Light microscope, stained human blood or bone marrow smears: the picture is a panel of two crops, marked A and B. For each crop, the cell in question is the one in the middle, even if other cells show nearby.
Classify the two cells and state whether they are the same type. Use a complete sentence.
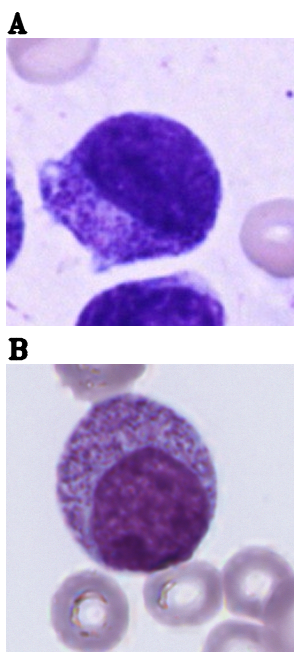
No, crop A is to be identified as a promyelocyte and crop B as a myelocyte.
